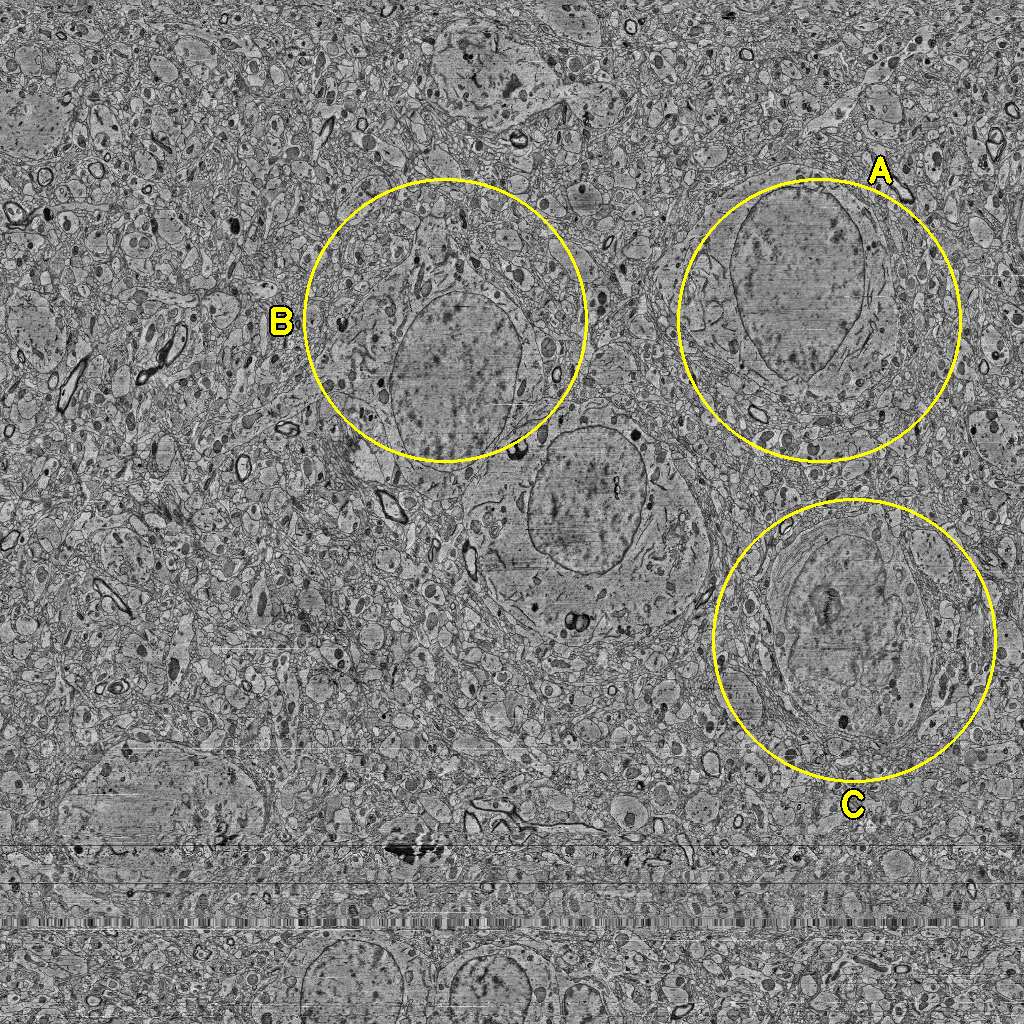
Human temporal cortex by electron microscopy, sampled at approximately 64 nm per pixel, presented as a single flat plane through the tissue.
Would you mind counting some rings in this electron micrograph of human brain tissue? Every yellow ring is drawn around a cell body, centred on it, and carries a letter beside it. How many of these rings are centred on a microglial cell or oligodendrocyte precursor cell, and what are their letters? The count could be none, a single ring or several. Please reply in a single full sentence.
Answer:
Zero rings in the micrograph are centred on a microglial cell or oligodendrocyte precursor cell.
